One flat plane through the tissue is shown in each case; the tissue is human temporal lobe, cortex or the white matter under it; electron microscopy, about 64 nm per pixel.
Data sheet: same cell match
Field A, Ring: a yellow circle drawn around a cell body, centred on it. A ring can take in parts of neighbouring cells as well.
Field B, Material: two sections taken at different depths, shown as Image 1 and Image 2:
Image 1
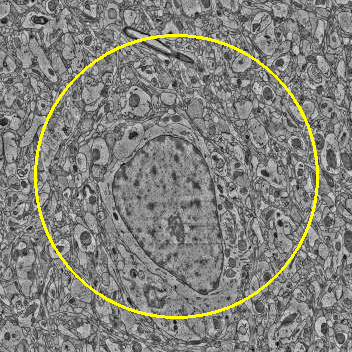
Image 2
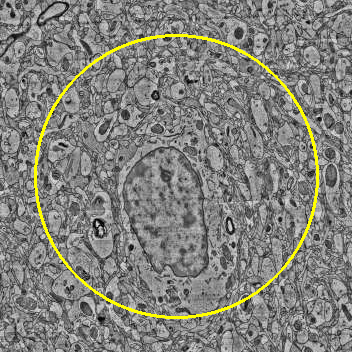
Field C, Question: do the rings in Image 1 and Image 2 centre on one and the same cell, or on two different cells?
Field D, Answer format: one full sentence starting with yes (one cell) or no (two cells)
Yes, both yellow rings were placed on the same cell.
